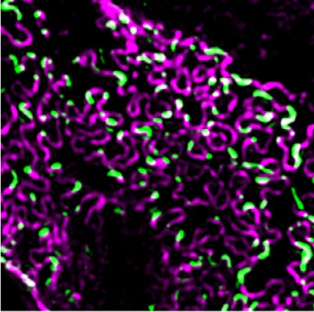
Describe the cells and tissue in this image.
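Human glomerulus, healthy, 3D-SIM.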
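The magenta lines are thin, continuous and closely spaced, outlining a fine interdigitating pattern. Green appears as short separate dots and dashes scattered among the magenta lines, some overlapping them to give white. Green does not form long continuous tracks.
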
